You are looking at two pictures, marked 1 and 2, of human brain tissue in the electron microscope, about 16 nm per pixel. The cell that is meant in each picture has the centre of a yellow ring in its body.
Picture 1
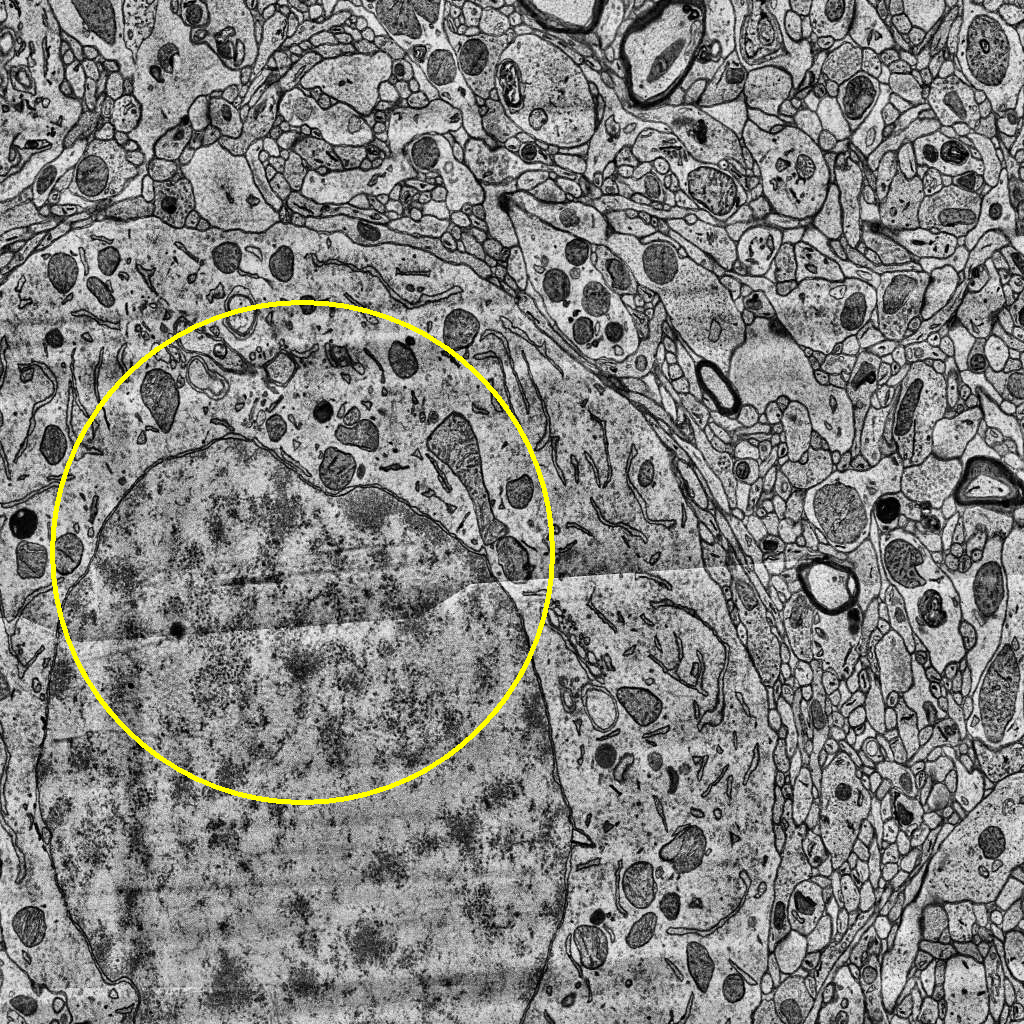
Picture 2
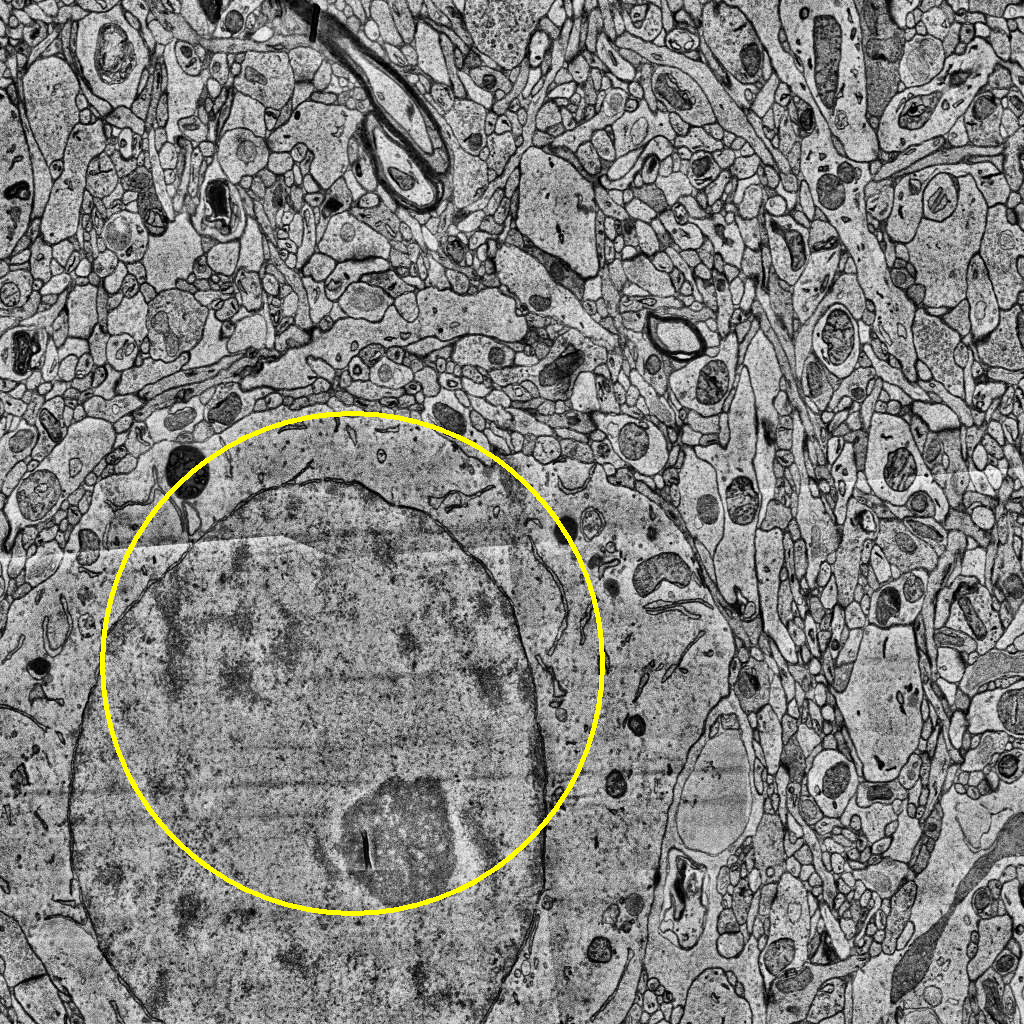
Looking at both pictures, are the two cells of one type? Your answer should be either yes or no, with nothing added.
no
